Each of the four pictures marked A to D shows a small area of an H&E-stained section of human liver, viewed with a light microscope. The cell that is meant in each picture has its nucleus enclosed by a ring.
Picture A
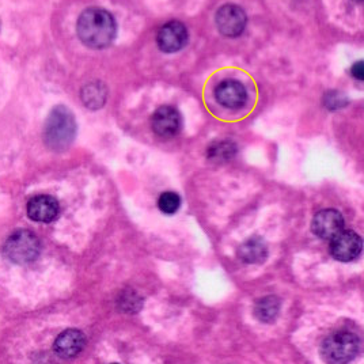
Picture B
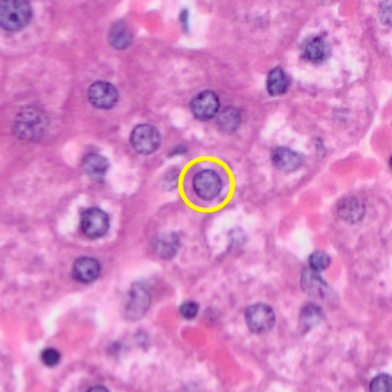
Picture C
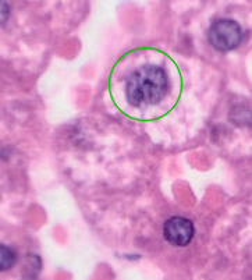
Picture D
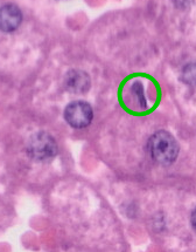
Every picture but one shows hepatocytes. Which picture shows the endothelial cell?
D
